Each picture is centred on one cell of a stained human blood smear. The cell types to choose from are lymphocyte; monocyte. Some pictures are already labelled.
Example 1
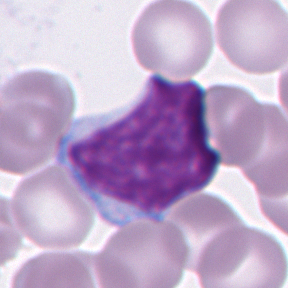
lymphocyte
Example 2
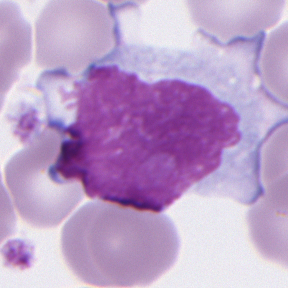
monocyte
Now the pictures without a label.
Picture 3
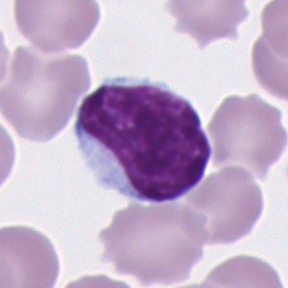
lymphocyte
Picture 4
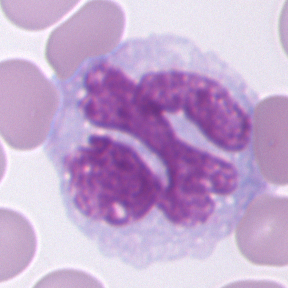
monocyte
